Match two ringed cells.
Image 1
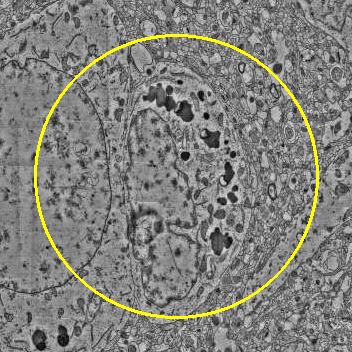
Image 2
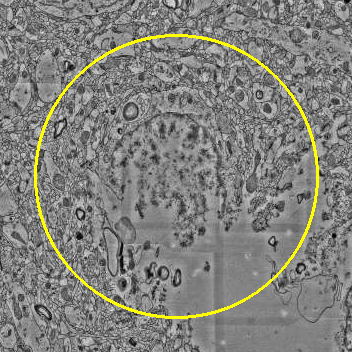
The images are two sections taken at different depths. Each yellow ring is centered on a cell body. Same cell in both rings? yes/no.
no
